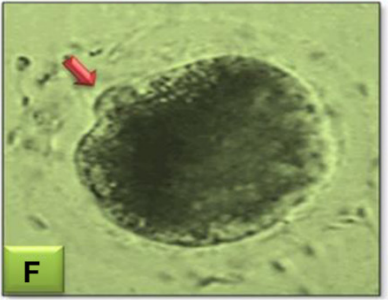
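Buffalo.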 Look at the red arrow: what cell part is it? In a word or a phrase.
Polar body.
